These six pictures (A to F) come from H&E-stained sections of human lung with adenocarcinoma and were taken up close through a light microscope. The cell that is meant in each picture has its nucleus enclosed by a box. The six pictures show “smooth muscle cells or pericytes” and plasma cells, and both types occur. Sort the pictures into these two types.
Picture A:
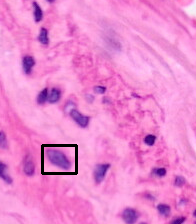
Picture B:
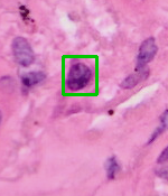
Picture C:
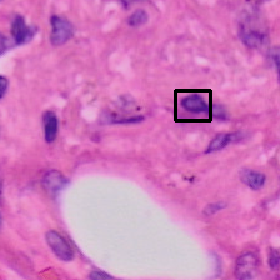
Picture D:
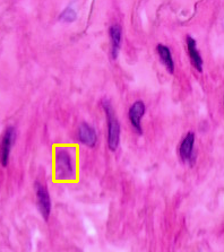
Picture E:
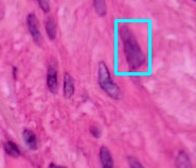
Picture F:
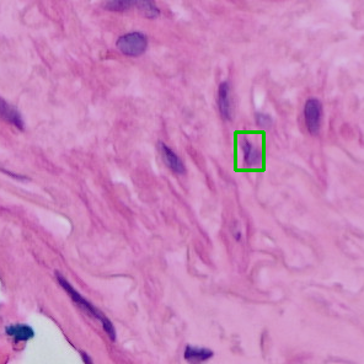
A: smooth muscle cell or pericyte
B: plasma cell
C: plasma cell
D: smooth muscle cell or pericyte
E: smooth muscle cell or pericyte
F: smooth muscle cell or pericyte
